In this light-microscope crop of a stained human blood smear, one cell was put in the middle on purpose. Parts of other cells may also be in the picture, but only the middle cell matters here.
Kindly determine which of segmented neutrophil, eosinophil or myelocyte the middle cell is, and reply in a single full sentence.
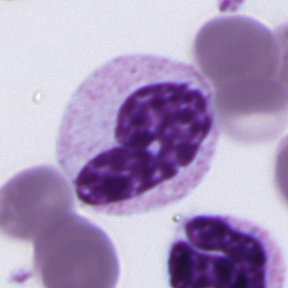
The centered cell in this crop is a segmented neutrophil.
